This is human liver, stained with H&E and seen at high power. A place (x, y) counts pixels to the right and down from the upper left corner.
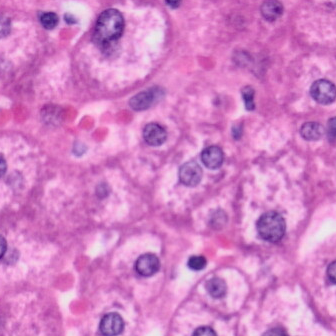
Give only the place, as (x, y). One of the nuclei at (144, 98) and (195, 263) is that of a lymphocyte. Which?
(195, 263)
